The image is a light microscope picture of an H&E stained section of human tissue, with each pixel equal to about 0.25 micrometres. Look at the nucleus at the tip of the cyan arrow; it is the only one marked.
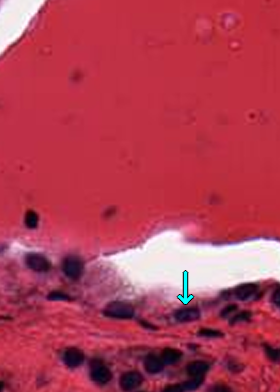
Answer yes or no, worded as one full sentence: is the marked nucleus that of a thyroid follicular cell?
Yes, the marked nucleus is the nucleus of a thyroid follicular cell in this section.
